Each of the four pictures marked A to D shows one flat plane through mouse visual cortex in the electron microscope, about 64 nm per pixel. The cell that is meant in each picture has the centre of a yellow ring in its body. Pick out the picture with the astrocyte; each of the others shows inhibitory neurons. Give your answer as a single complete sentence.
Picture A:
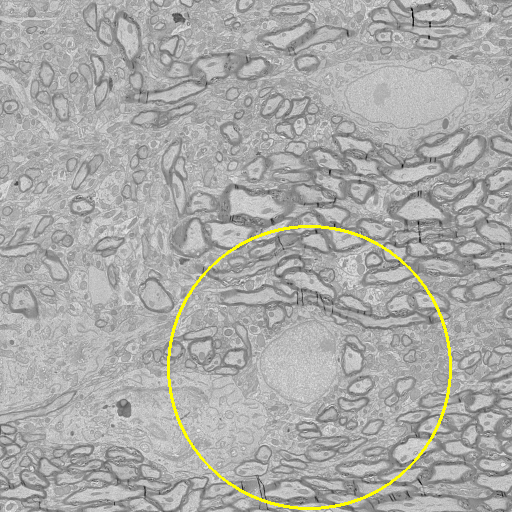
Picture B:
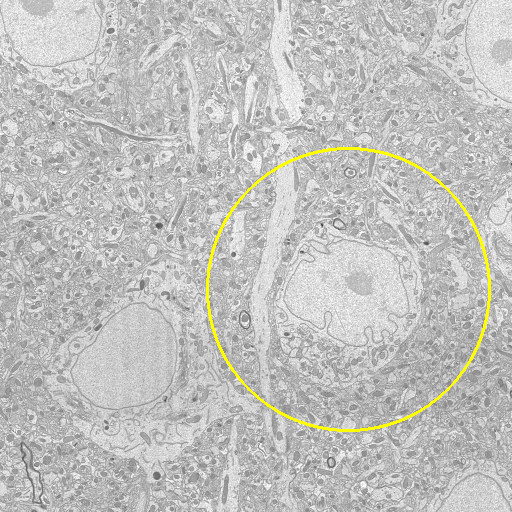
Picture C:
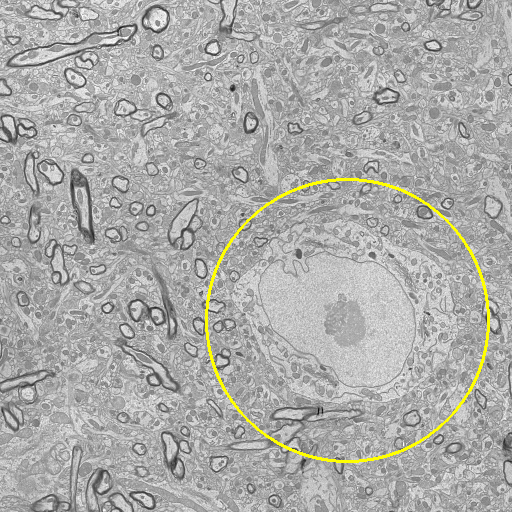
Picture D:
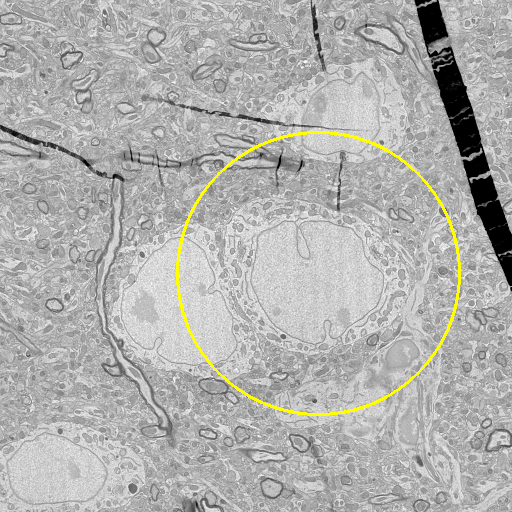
The cell in picture A is the astrocyte.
